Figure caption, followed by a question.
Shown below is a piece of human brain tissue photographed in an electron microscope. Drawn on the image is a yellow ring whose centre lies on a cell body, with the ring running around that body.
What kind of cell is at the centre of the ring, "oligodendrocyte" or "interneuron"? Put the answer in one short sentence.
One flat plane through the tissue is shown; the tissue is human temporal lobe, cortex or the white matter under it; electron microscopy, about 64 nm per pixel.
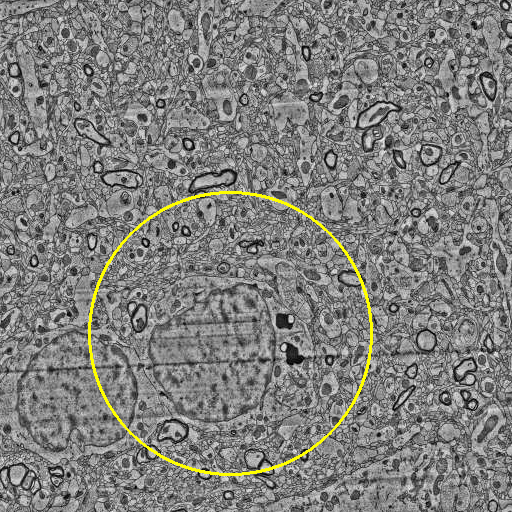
The ring marks the cell body of an interneuron.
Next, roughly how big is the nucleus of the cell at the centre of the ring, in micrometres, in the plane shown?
Approximately 8 micrometres across, in this plane.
